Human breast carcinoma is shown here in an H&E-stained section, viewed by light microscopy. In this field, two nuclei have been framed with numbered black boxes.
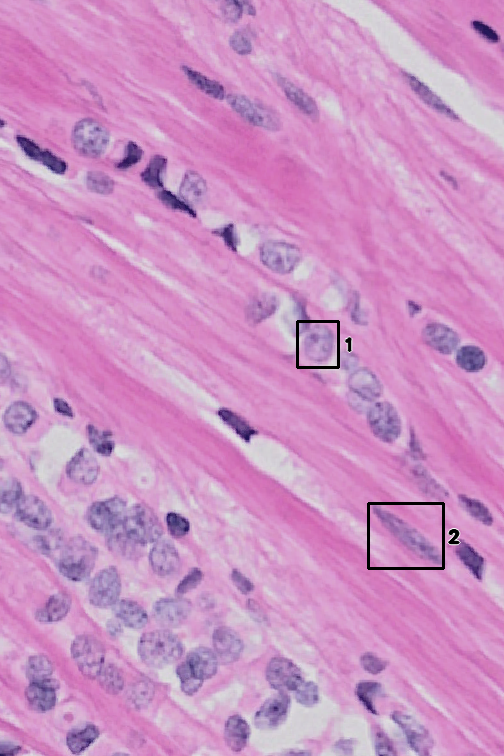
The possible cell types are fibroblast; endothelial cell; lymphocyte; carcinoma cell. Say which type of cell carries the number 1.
carcinoma cell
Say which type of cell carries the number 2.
fibroblast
